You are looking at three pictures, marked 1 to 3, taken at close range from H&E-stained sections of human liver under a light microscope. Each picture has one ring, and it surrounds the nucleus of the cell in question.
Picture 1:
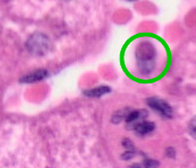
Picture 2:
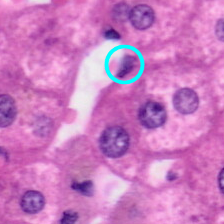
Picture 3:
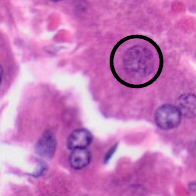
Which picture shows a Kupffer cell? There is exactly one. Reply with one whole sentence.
It is picture 1 that shows the Kupffer cell.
